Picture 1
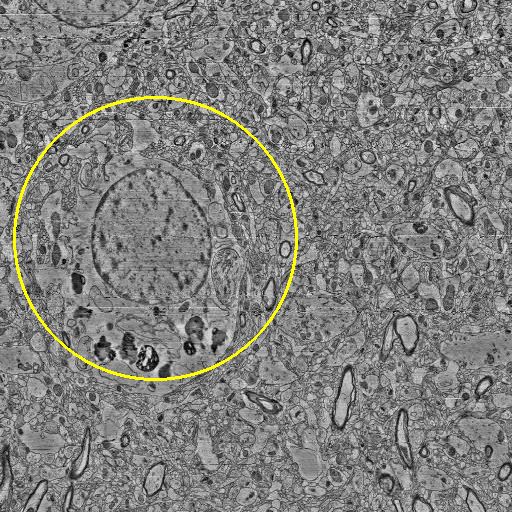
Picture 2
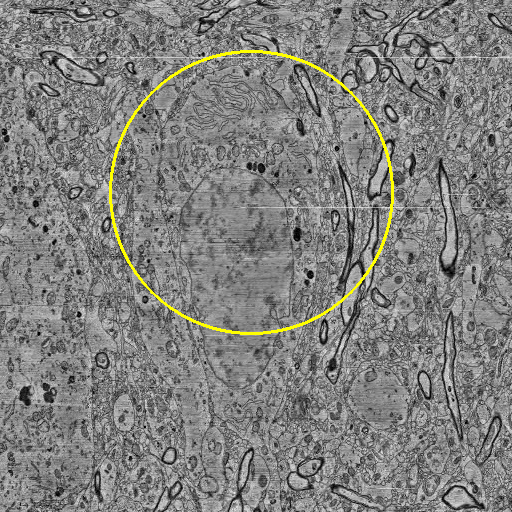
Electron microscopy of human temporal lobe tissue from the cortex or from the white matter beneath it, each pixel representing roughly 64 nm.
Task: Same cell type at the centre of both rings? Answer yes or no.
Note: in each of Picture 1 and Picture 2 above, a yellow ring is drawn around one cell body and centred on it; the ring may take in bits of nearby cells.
no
